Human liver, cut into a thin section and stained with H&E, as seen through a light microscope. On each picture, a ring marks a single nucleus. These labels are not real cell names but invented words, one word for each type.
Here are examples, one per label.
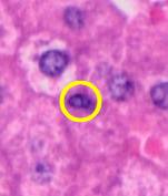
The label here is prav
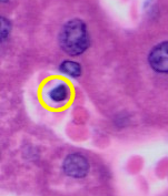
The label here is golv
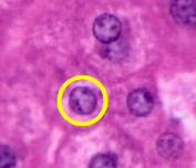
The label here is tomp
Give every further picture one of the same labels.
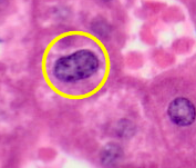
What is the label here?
tomp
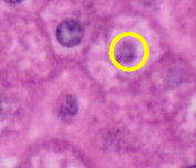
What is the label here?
tomp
